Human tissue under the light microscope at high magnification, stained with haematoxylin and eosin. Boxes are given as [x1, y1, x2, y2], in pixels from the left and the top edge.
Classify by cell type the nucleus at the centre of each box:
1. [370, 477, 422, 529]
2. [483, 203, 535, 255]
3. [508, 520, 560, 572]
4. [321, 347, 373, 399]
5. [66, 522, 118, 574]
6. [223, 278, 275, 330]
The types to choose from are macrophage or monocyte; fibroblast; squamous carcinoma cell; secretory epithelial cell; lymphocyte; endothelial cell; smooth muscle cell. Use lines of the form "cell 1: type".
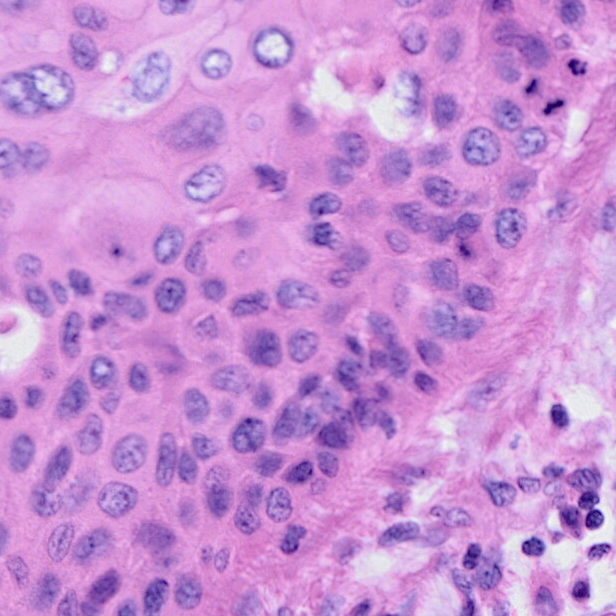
cell 1: macrophage or monocyte
cell 2: squamous carcinoma cell
cell 3: lymphocyte
cell 4: squamous carcinoma cell
cell 5: squamous carcinoma cell
cell 6: squamous carcinoma cell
